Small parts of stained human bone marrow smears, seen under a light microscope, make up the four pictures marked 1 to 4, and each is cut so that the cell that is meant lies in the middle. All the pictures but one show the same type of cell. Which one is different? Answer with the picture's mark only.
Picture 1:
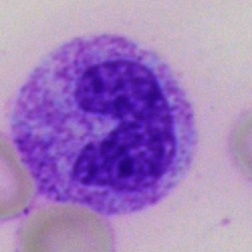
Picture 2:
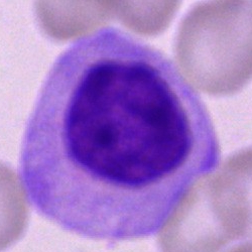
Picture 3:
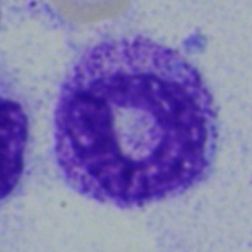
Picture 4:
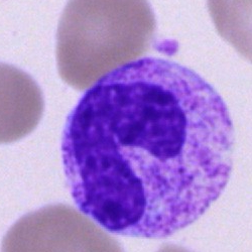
2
